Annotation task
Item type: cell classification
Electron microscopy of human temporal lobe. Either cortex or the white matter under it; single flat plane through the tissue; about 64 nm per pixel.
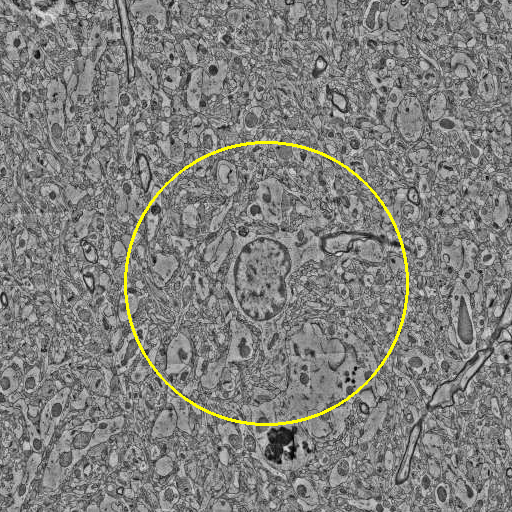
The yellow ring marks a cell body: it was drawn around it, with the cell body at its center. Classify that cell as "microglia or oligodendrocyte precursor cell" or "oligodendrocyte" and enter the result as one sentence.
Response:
The ring's center falls on a microglial cell or oligodendrocyte precursor cell.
